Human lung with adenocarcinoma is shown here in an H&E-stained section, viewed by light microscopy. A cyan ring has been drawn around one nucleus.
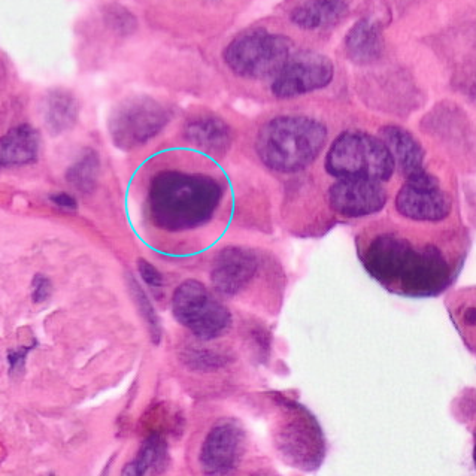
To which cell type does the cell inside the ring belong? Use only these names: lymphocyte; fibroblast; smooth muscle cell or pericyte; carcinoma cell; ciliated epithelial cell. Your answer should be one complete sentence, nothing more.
For cell typing purposes, the cell inside the ring is a carcinoma cell.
